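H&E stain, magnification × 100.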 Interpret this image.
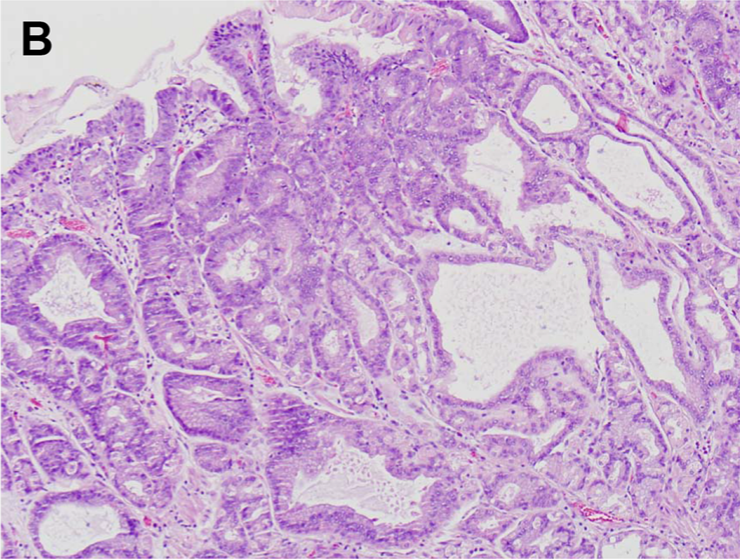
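This is a section through a stomach polyp stained pink and purple, where two different kinds of glandular tissue lie side by side. In the upper left and across much of the field the glands are crowded and back-to-back, with only thin strands of pink stroma between them. The cells lining these glands have elongated, dark purple nuclei packed closely together and stacked along the gland walls, the look of an adenoma with low grade dysplasia. Toward the right, by contrast, several glands are widely dilated into cyst-like spaces with pale, nearly empty lumens. These cystic glands are lined by a thin, single layer of lower cells with small, evenly spaced nuclei, the pattern of an underlying cystic fundic gland polyp.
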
